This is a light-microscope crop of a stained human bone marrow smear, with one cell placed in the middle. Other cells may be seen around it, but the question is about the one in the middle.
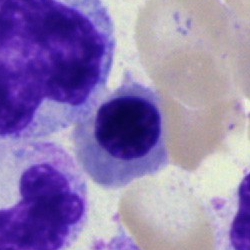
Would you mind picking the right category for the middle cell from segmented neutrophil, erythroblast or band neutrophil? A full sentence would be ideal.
The cell at the middle of the frame should be recorded as an erythroblast.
